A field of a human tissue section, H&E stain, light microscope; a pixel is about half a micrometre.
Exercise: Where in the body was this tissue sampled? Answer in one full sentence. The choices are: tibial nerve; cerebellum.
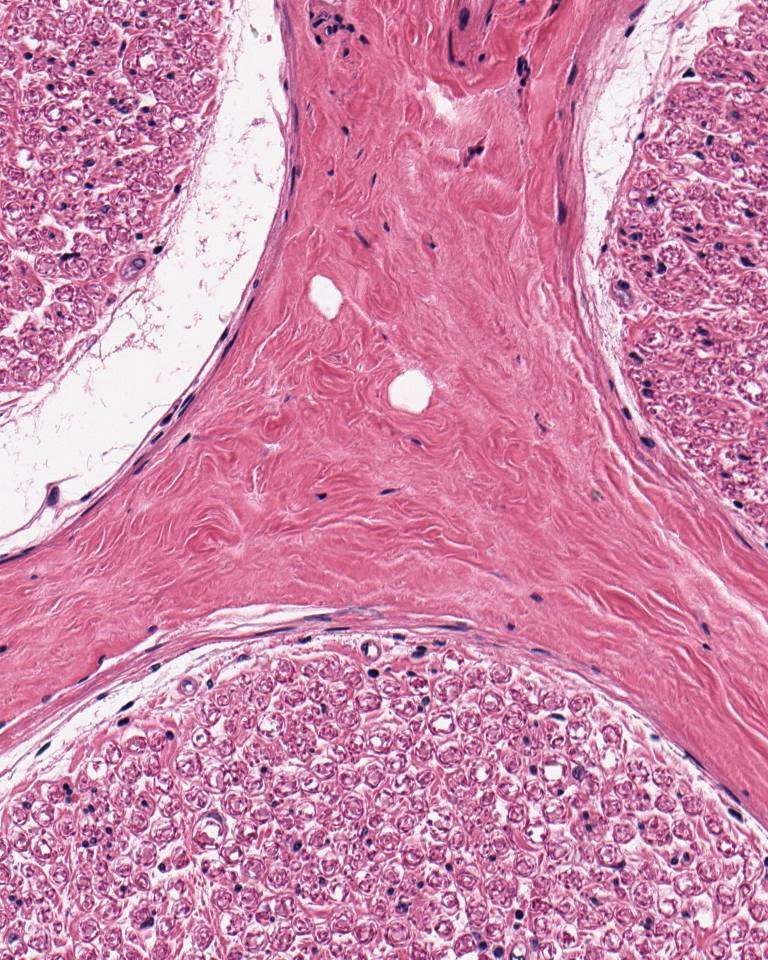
From the tibial nerve this tissue was sampled.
